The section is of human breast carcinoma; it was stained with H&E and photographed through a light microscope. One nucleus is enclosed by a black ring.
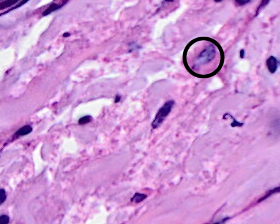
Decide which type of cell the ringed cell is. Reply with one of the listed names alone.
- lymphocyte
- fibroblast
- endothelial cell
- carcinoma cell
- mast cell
endothelial cell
